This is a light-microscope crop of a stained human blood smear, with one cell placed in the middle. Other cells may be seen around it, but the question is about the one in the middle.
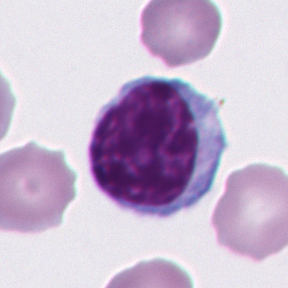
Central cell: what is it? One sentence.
The middle cell in this particular crop is a typical lymphocyte.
